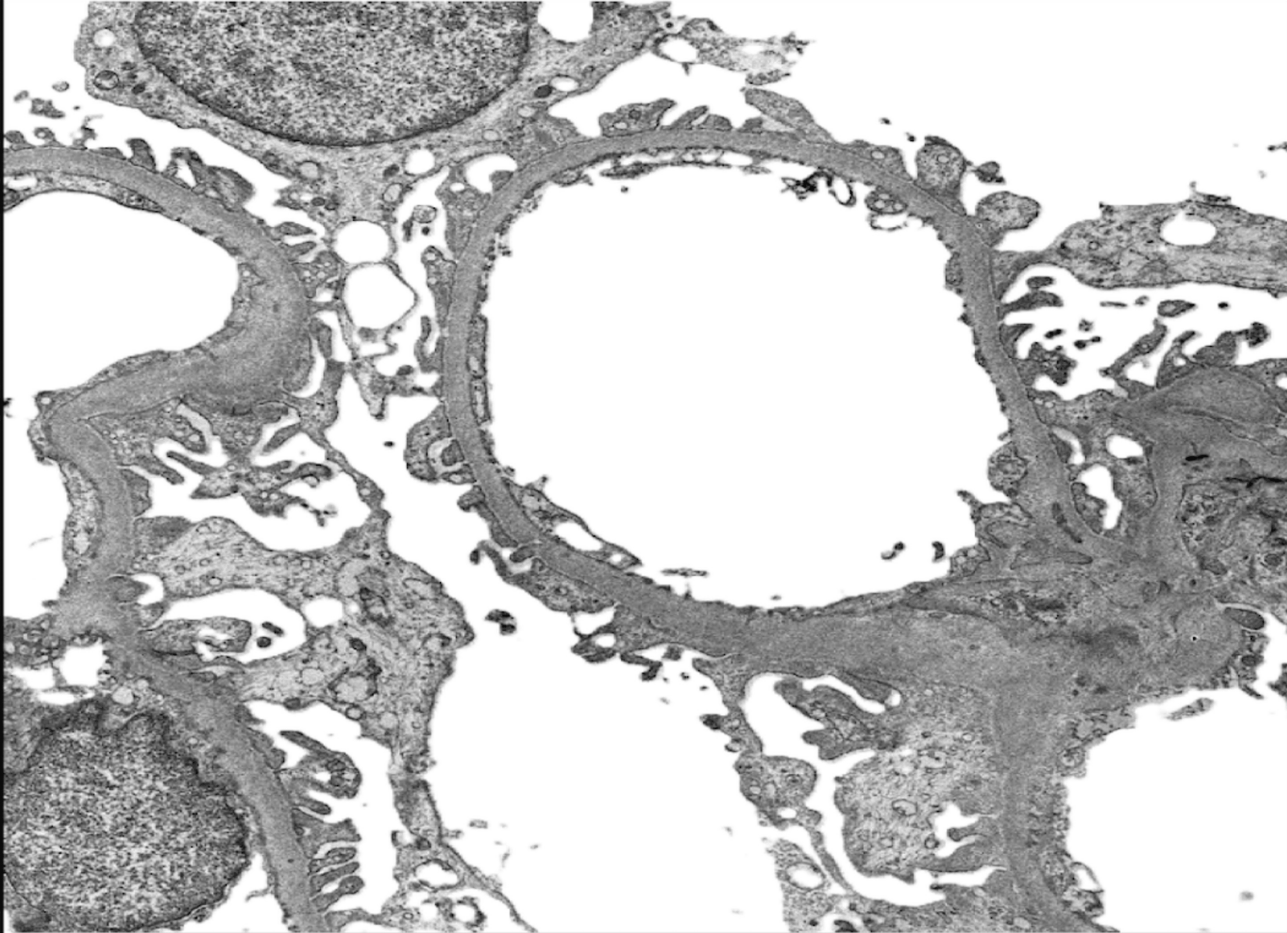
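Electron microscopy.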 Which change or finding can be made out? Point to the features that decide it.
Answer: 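Round, clear, membrane-bound spaces lie in the cytoplasm of the cells outside the capillary loops. Several such clear vacuoles cluster near the top centre.
Answer: vacuolation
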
